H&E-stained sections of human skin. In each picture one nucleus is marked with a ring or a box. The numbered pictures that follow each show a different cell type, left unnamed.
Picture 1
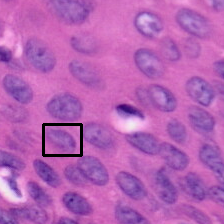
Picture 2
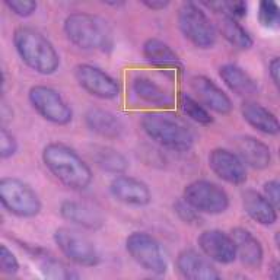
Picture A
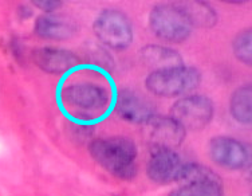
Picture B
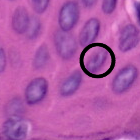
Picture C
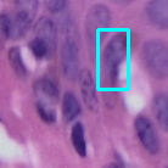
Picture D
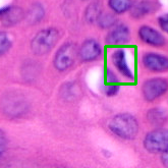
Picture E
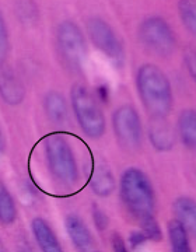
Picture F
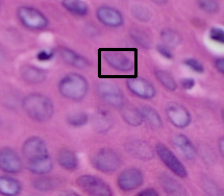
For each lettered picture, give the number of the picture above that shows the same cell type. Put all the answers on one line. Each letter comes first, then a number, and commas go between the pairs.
A 2, B 1, C 2, D 2, E 1, F 1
